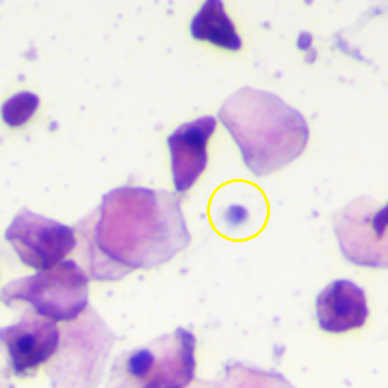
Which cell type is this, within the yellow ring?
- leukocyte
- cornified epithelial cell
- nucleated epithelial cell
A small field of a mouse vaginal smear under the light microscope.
Within the ring is a leukocyte.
